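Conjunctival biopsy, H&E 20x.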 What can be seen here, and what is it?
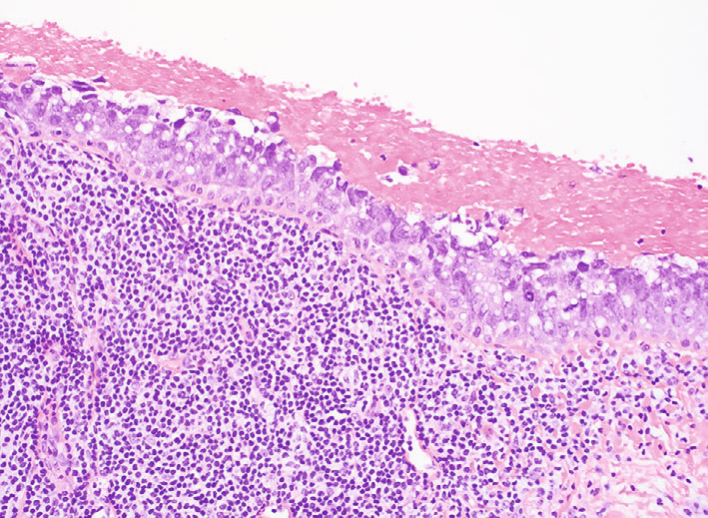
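The epithelial layer along the top holds large atypical cells with enlarged, dark, irregular nuclei, and many of them have pale, clear or finely bubbly vacuolated cytoplasm. Some clear spaces and rounded cells sit loosely near the surface, where a layer of pink, fairly homogeneous material covers the epithelium. Below the epithelium the stroma is crowded with a sheet of small round cells with dark purple nuclei and little cytoplasm, forming a broad band that follows the epithelium. Thin pink strands of stroma and small vessels can be glimpsed between the lymphocytes, especially toward the lower right.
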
